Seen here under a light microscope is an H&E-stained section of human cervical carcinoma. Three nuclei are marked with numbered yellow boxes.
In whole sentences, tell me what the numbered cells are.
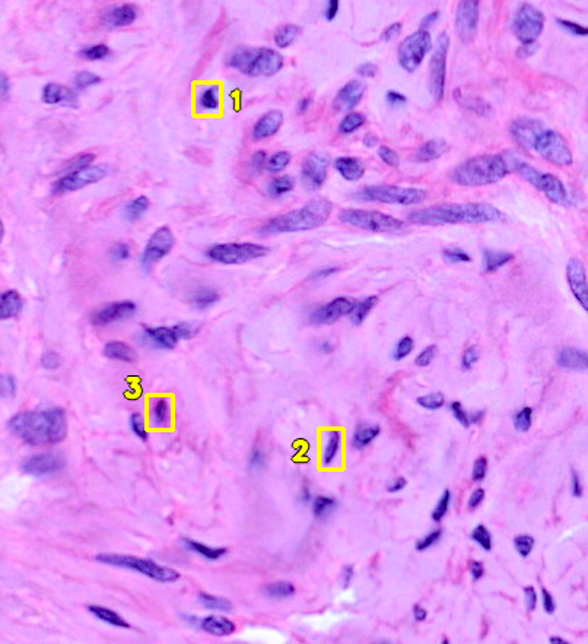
Cell 1 is a lymphocyte. Cell 2 is a fibroblast. Cell 3 is a smooth muscle cell.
